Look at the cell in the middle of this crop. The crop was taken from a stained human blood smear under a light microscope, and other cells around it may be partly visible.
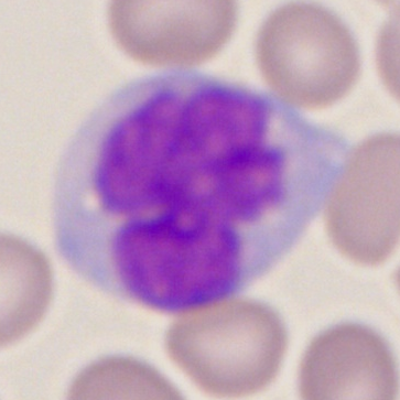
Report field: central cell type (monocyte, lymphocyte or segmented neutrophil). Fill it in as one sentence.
On this slide crop, the central cell is a monocyte.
